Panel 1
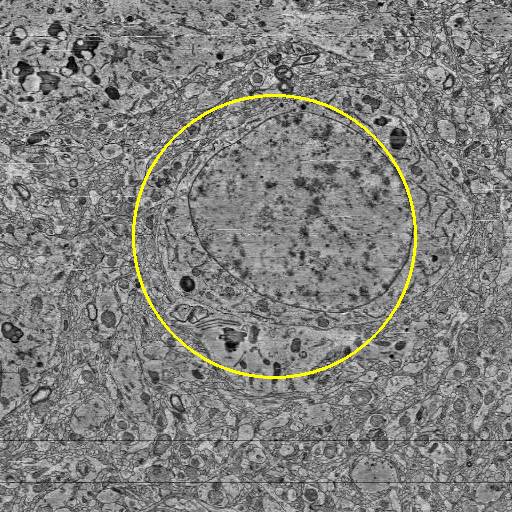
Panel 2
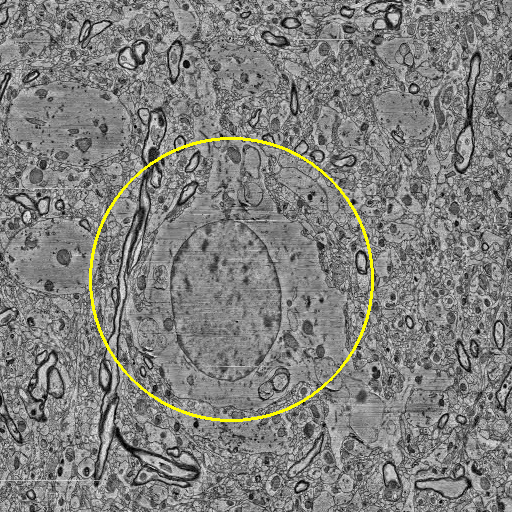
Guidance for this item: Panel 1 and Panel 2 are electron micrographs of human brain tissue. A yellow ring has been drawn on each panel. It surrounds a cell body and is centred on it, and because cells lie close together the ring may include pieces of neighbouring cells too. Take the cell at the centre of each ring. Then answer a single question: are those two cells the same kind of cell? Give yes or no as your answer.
no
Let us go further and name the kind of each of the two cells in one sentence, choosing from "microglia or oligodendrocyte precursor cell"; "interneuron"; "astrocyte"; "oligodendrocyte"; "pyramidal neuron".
The ring of the first picture is on a pyramidal neuron, the ring of the second on an astrocyte.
